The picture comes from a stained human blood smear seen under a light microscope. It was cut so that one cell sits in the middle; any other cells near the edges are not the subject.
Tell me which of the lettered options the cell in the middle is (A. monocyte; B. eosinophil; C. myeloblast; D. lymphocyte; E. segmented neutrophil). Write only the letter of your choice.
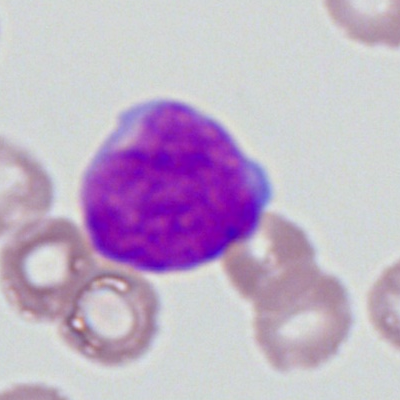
C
